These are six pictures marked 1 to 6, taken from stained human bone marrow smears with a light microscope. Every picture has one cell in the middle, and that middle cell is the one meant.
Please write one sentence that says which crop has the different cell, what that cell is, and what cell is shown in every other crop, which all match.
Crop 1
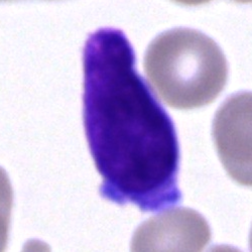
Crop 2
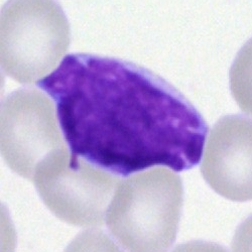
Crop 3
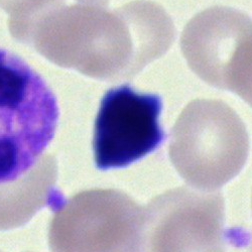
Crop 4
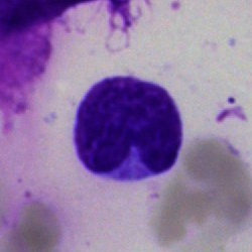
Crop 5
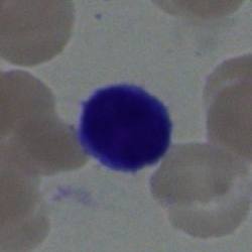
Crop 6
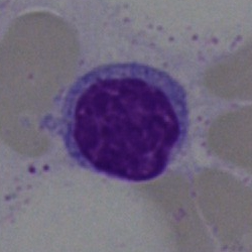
Shown in crop 2 is a blast, in contrast to the lymphocytes of all the other crops.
